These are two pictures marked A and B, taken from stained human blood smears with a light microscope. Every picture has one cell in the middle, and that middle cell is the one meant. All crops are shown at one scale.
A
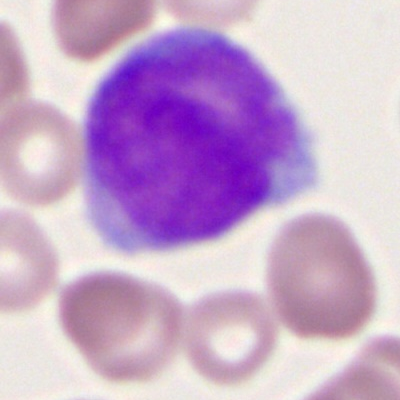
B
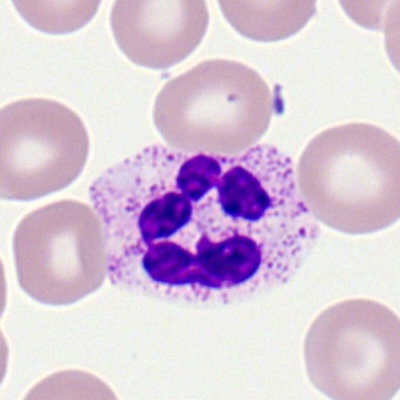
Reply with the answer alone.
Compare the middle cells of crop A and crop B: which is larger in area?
A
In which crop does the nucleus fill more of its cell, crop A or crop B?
A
